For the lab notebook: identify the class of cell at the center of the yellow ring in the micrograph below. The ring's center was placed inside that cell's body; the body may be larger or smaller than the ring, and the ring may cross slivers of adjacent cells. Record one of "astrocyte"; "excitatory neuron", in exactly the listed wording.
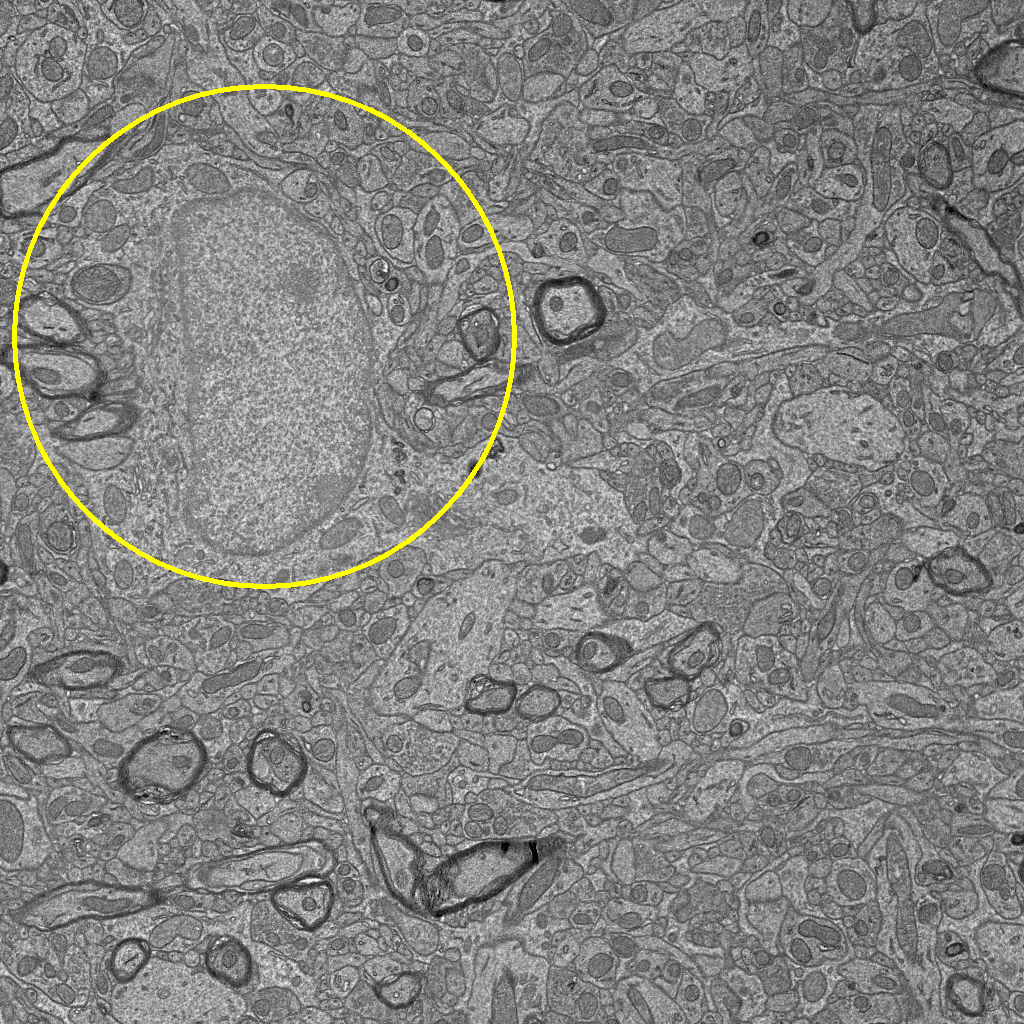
astrocyte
